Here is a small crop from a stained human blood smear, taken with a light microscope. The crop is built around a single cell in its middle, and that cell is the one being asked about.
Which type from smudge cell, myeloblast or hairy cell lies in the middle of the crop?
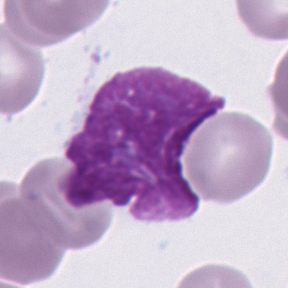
smudge cell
